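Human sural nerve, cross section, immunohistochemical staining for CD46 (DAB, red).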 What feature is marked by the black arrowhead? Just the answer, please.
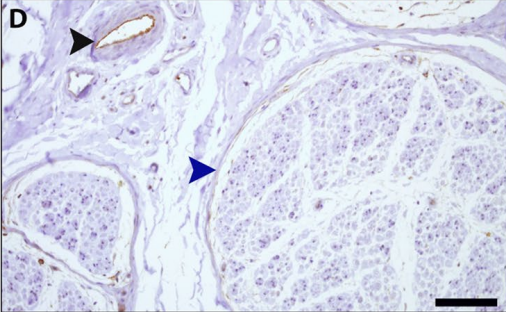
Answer: Endothelial blood vessels of the epineurium.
